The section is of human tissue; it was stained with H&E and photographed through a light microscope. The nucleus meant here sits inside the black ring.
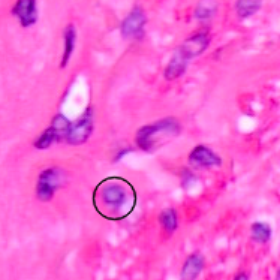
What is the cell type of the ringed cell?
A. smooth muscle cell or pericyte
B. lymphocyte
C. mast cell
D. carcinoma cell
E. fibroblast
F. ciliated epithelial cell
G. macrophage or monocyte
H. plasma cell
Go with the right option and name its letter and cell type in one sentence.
Option A is correct; the ringed cell is a smooth muscle cell or pericyte.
